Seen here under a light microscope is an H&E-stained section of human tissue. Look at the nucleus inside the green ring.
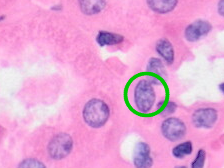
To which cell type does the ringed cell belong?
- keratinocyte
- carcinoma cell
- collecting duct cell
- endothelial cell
collecting duct cell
